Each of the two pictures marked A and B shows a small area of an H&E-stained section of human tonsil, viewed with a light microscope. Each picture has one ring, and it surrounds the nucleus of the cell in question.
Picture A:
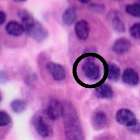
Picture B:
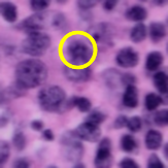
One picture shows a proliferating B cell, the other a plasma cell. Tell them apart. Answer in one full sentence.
It is picture A that shows a plasma cell, and picture B that shows a proliferating B cell.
